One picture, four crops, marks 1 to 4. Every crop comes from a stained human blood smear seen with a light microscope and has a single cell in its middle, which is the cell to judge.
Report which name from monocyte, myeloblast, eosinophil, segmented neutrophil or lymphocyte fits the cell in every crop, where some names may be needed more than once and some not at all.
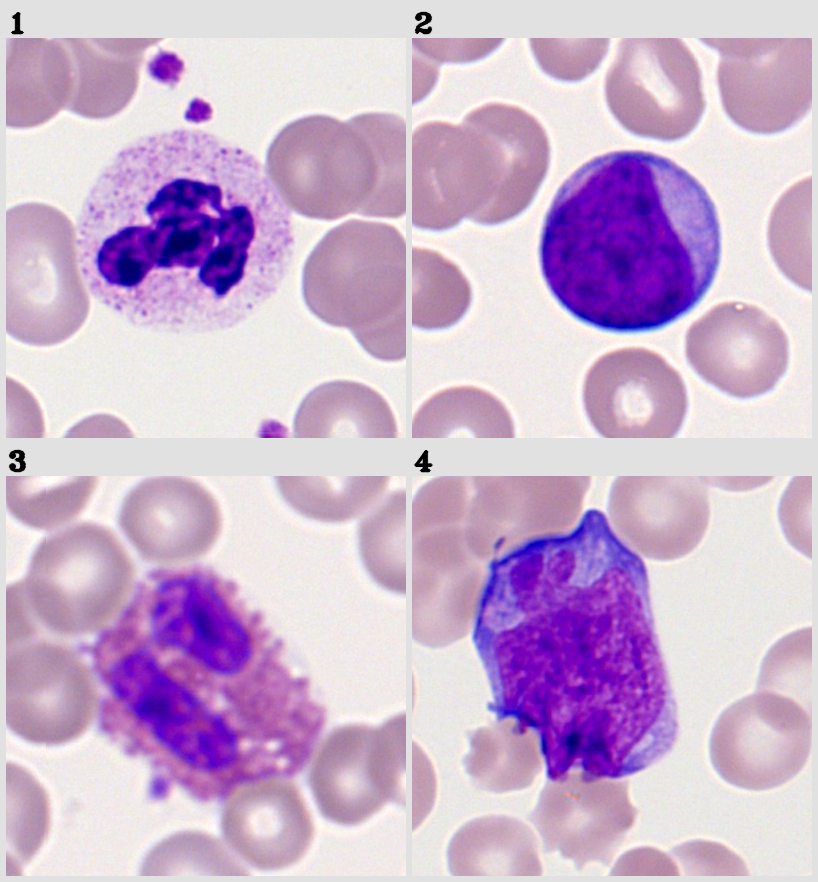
1: segmented neutrophil
2: myeloblast
3: eosinophil
4: myeloblast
